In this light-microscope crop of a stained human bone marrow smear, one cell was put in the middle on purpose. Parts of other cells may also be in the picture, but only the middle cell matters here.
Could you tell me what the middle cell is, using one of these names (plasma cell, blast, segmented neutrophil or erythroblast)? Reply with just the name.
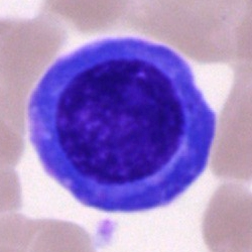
plasma cell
